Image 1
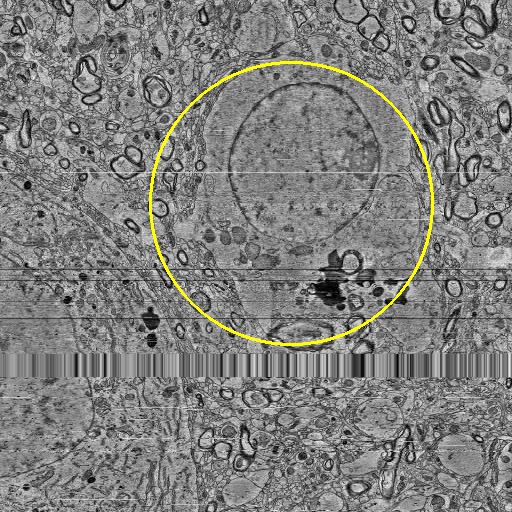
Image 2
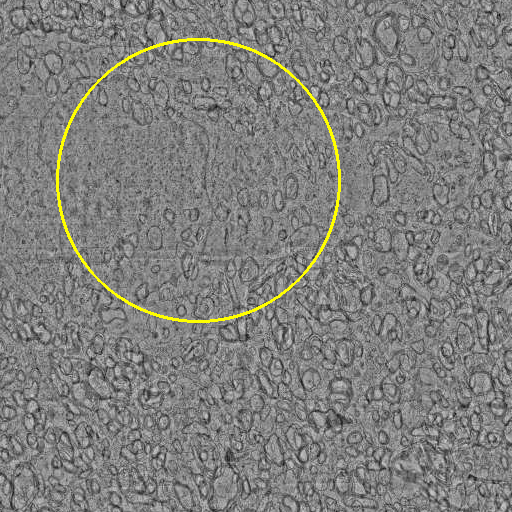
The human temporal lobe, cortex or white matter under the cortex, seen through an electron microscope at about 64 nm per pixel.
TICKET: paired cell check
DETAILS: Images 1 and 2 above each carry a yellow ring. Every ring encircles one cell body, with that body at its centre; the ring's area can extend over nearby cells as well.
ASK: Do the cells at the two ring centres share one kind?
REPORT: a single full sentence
No, the ring-centre cells of Images 1 and 2 belong to two kinds.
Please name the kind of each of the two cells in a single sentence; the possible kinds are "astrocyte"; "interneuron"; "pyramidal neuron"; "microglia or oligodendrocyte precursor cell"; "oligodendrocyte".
In the first picture the ring is centred on an astrocyte, and in the second on a pyramidal neuron.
